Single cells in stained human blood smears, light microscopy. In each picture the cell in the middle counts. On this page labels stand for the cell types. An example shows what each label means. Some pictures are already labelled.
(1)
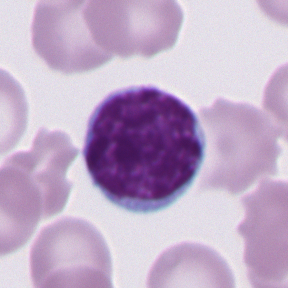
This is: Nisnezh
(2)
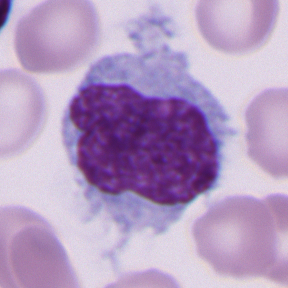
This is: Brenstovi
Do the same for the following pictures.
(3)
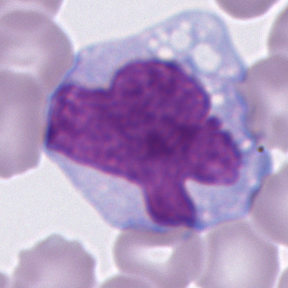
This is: Brenstovi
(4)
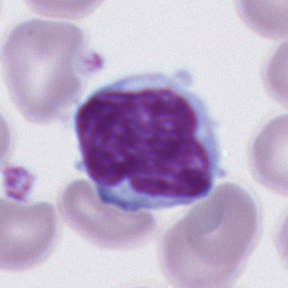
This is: Nisnezh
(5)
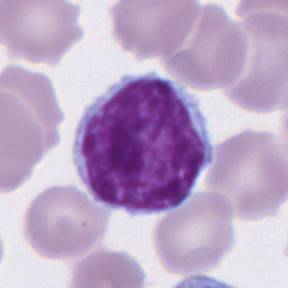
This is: Nisnezh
